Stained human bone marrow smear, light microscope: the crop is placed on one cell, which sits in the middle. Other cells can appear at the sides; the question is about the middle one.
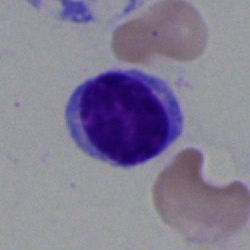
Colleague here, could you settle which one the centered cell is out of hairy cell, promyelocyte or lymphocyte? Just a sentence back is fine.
The cell in the middle of this crop is a lymphocyte.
